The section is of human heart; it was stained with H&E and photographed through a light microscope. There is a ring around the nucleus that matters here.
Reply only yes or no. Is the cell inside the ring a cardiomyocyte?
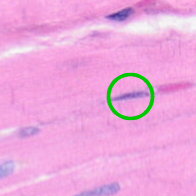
no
